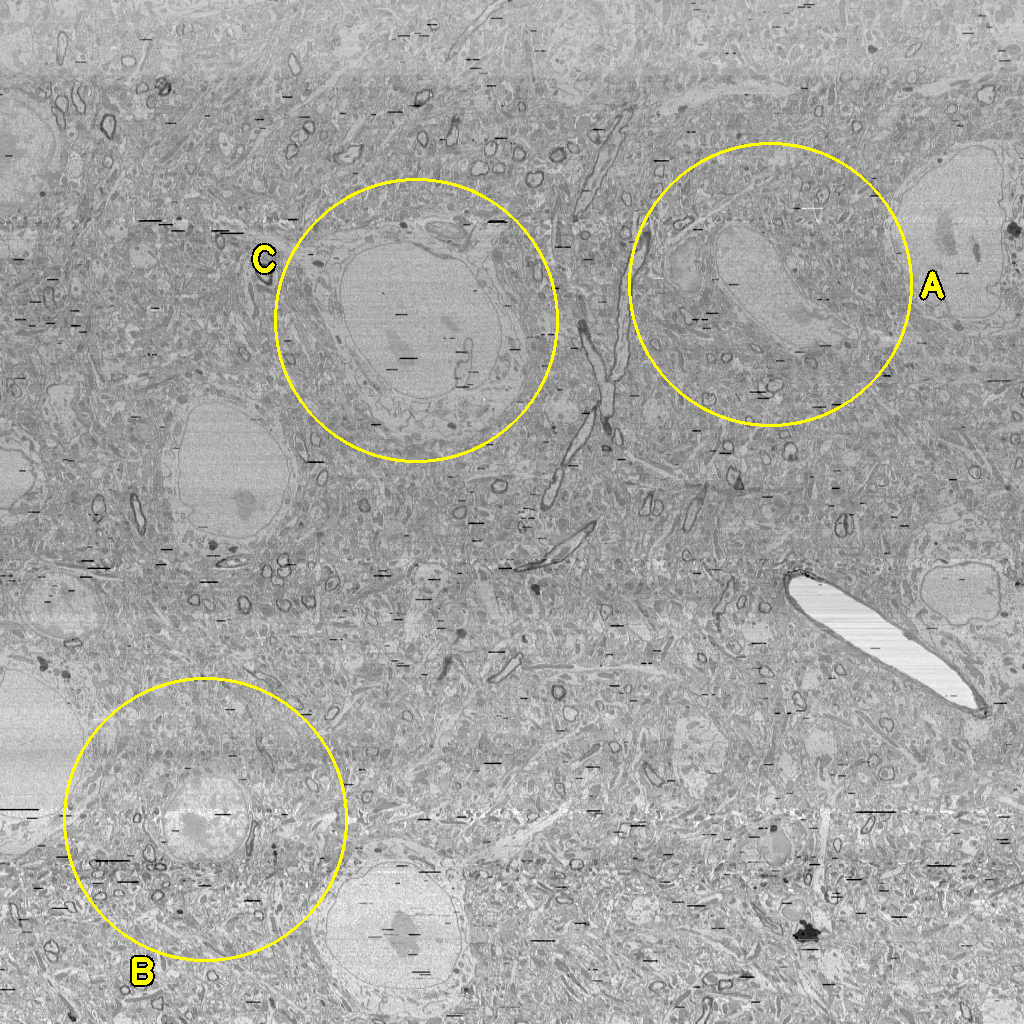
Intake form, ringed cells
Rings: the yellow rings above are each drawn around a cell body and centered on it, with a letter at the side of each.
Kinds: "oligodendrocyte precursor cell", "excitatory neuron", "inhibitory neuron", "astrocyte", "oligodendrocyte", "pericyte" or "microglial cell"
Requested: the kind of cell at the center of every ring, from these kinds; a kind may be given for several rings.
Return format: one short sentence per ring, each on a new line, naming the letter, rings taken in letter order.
In the center of ring A there is an oligodendrocyte precursor cell.
In the center of ring B there is an oligodendrocyte.
In the center of ring C there is an excitatory neuron.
